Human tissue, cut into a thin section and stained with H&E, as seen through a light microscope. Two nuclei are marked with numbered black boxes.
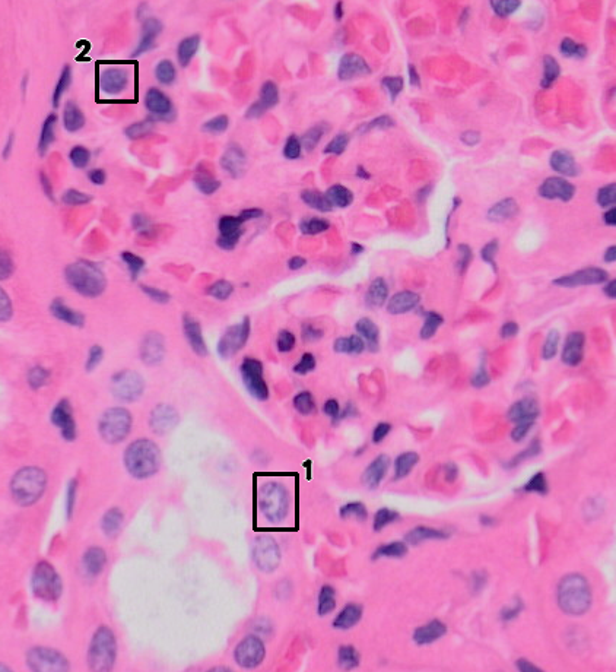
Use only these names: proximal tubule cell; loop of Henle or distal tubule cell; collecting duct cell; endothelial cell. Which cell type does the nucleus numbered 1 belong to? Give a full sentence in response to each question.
Belonging to a collecting duct cell is the nucleus that carries the number 1.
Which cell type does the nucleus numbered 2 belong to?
Belonging to an endothelial cell is the nucleus that carries the number 2.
